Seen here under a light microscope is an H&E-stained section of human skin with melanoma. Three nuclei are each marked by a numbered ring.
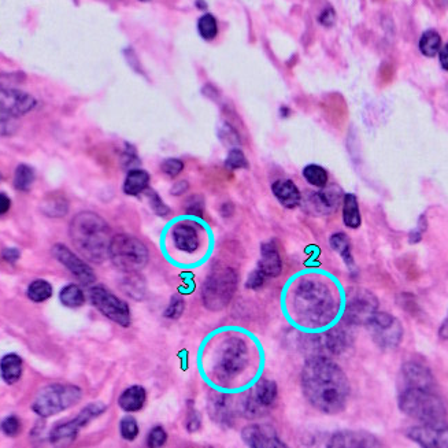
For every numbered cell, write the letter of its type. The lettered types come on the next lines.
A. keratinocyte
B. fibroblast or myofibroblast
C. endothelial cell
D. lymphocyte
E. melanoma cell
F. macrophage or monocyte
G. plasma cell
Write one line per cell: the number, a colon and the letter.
1: E
2: E
3: D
